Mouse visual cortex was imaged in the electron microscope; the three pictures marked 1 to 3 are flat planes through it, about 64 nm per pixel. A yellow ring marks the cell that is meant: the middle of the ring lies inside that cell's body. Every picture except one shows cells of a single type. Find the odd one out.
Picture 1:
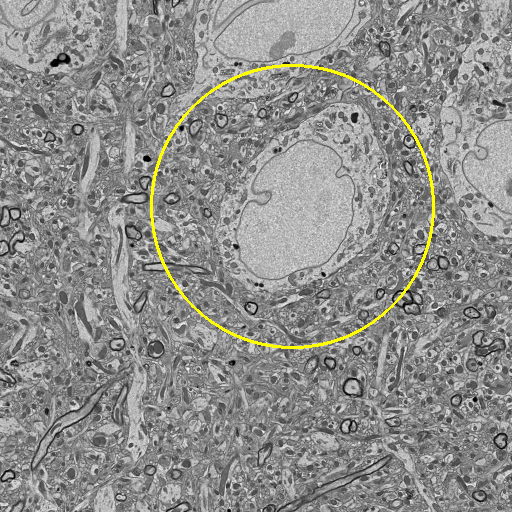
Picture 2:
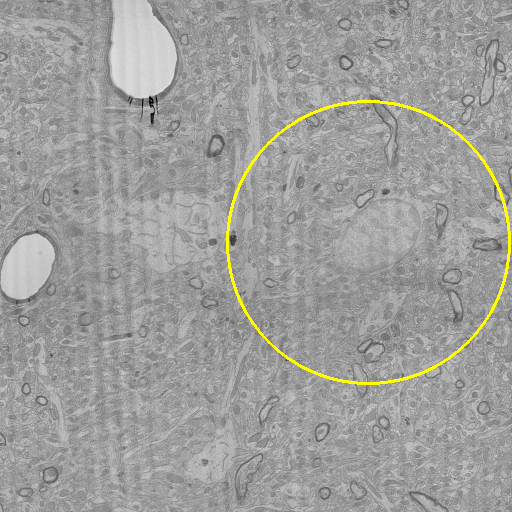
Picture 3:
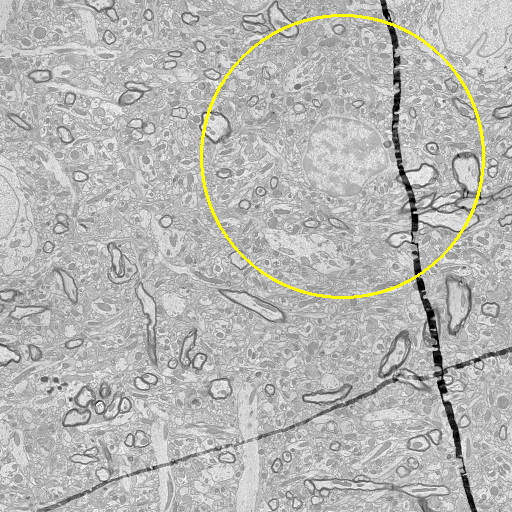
All pictures except 1 show oligodendrocytes; picture 1 shows an excitatory neuron.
